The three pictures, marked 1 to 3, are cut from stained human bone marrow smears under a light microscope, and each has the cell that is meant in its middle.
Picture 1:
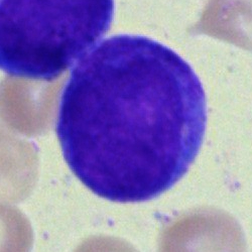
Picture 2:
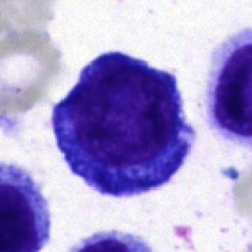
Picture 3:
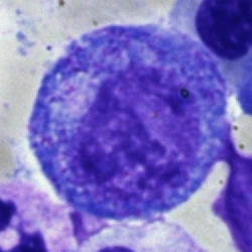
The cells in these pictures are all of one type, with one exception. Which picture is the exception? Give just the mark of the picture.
2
